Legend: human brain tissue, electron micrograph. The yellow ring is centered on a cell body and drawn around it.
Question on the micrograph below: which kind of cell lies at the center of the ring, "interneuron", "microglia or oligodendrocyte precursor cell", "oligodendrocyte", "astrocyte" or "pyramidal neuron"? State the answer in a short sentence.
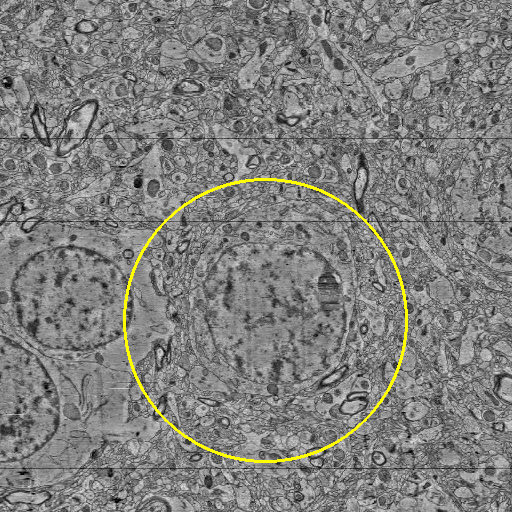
At the center of the ring lies an interneuron.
